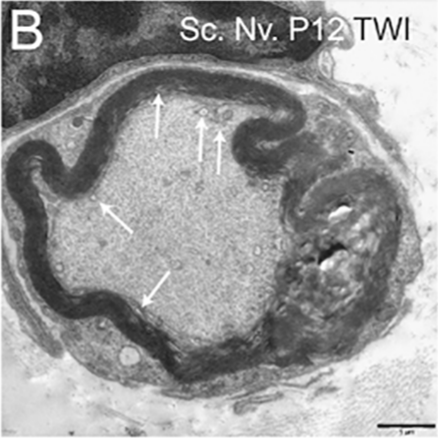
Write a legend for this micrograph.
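A myelinated axon of peripheral nerve in cross-section with a damaged sheath. The dark myelin sheath is not smooth and round but undulates and folds inward, so the axon outline is irregular and lobed. Small clear round vesicles lie along the inner border of the sheath and within the adjoining axoplasm, which is finely granular. To one side the sheath is disorganised into a loose, layered mass with clefts. The whole fibre is surrounded by a rim of cytoplasm, and a dark nucleus lies at the top edge. The picture is one of myelin damage with vesicles at the sheath.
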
